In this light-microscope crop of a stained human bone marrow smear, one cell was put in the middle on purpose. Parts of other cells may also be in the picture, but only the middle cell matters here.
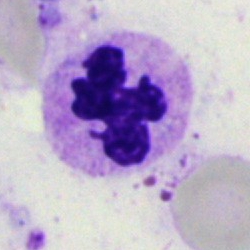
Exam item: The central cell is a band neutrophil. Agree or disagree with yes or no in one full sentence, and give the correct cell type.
No, the correct answer for the middle cell is a segmented neutrophil, not a band neutrophil.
